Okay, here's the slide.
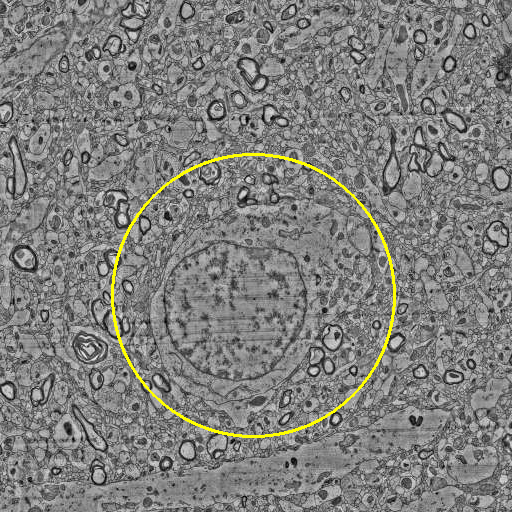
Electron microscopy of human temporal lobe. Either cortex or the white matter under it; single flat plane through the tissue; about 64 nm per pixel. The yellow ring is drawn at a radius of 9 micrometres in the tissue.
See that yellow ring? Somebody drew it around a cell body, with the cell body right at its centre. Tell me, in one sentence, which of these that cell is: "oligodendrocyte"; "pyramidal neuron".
The cell in the middle of the ring is a pyramidal neuron.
